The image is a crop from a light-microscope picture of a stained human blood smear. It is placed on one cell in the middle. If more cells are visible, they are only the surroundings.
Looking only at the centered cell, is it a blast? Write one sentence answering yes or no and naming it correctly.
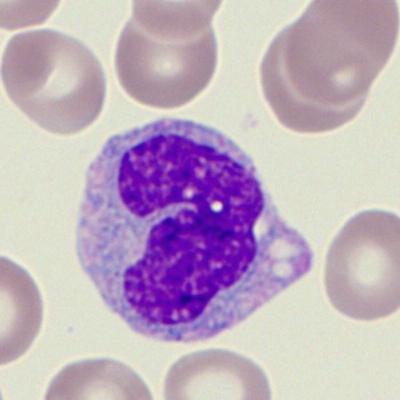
No, the cell in the middle is not a blast but a monocyte.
